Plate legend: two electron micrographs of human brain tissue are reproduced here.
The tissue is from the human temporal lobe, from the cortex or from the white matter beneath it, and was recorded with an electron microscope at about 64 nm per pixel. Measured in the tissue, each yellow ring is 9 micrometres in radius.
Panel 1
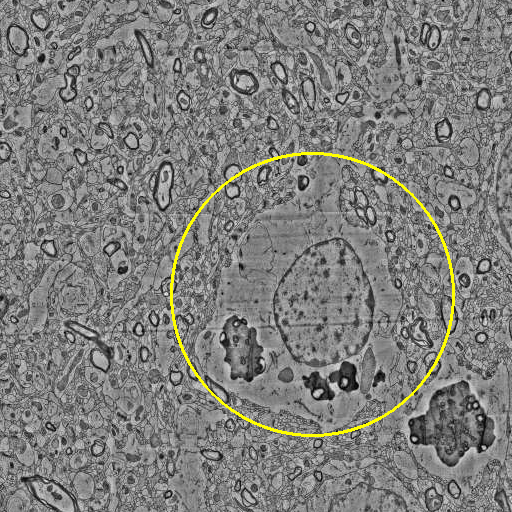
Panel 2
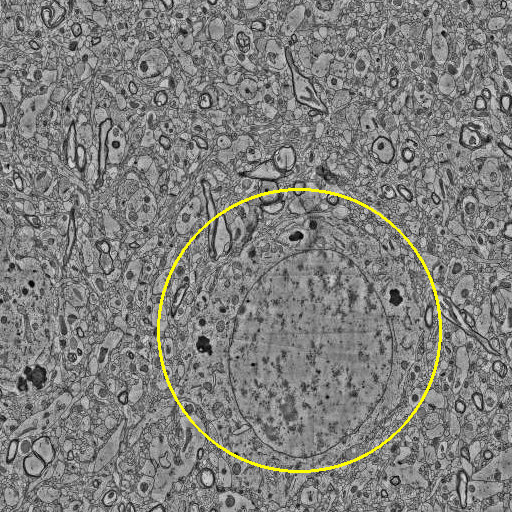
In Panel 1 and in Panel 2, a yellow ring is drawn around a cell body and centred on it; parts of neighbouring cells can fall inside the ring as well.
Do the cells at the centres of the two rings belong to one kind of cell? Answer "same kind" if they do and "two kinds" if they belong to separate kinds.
two kinds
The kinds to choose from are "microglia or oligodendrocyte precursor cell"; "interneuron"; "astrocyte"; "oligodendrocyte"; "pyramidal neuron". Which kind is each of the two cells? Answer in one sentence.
Of the two, the first cell is an astrocyte and the second cell is a pyramidal neuron.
